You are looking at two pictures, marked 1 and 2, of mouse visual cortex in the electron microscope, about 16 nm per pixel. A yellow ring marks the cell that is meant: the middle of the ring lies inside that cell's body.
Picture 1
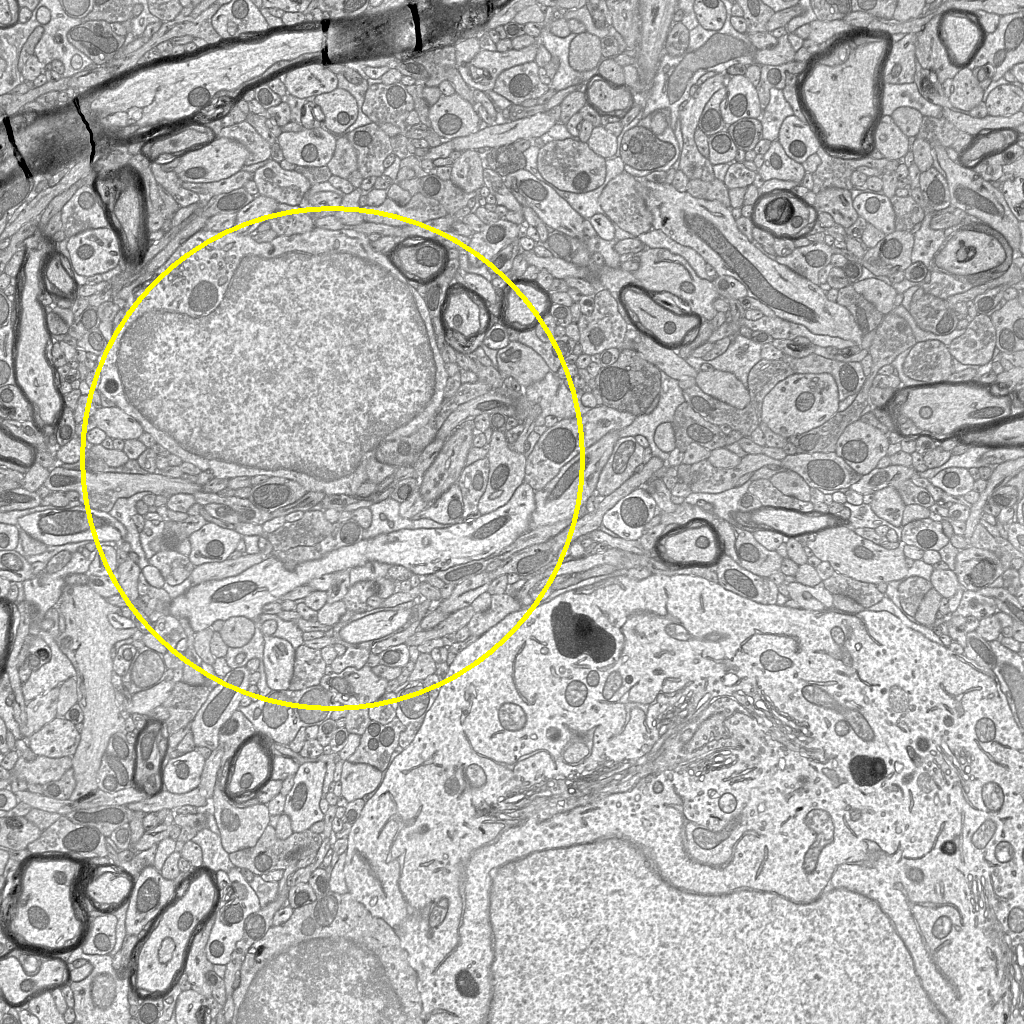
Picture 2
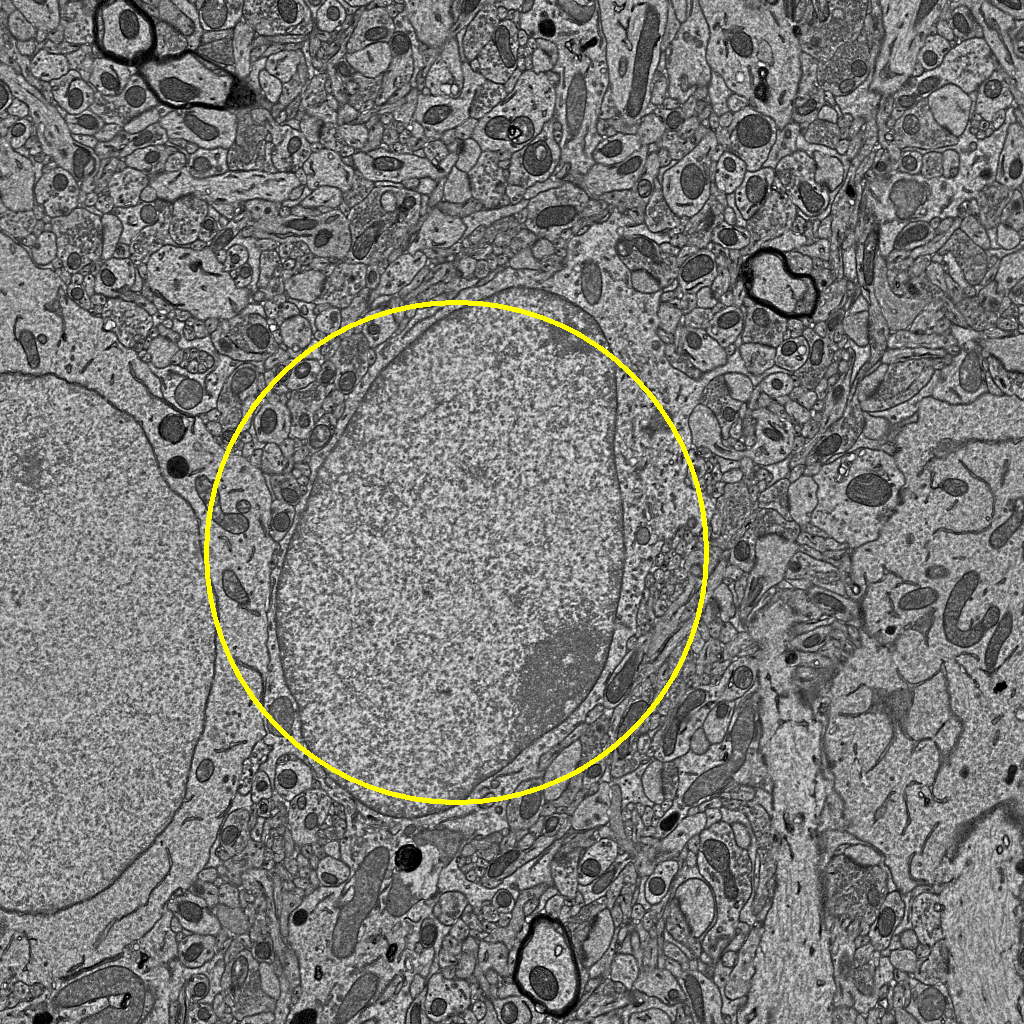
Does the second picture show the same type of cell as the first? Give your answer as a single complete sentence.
No, picture 1 shows an oligodendrocyte precursor cell and picture 2 shows an astrocyte.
